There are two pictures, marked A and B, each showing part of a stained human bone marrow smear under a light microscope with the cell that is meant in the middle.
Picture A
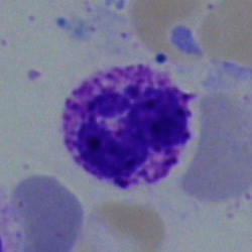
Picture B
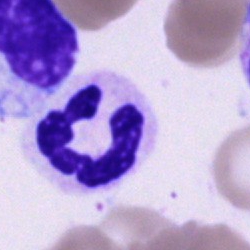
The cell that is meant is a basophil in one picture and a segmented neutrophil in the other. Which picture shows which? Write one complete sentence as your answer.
Picture A shows a basophil and picture B shows a segmented neutrophil.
